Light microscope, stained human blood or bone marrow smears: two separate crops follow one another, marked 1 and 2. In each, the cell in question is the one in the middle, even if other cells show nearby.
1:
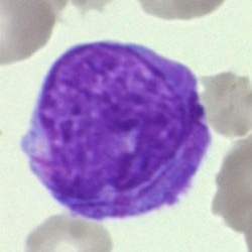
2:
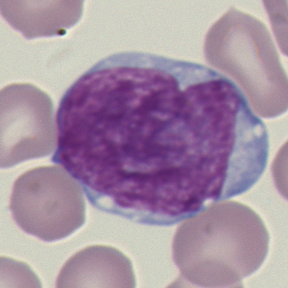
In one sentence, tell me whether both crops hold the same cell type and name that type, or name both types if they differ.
Yes, the cells at the centre of the two crops are both blasts.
